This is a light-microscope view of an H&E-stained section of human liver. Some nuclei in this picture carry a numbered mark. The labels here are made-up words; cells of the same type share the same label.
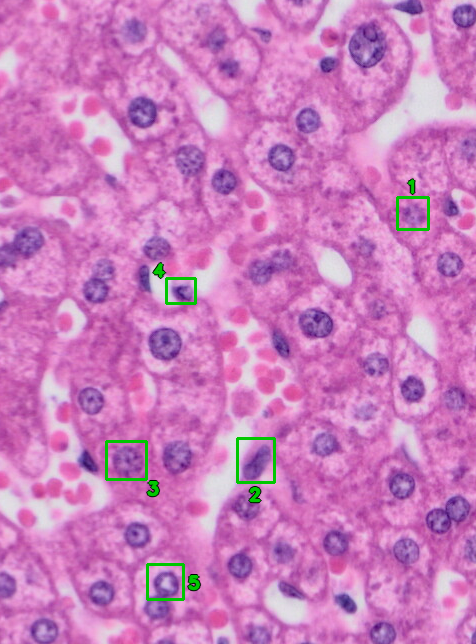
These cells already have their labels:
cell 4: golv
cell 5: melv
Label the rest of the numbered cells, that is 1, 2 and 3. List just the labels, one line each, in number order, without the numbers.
melv
golv
melv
